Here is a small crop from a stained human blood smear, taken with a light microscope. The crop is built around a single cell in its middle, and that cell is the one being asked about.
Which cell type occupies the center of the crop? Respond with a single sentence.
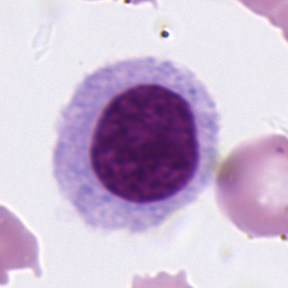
Centred in the crop is a hairy cell.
